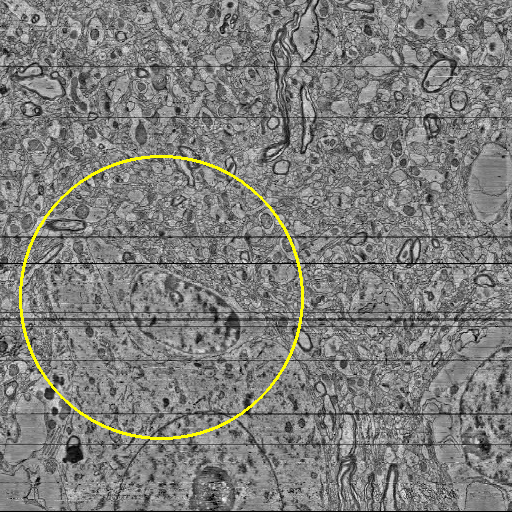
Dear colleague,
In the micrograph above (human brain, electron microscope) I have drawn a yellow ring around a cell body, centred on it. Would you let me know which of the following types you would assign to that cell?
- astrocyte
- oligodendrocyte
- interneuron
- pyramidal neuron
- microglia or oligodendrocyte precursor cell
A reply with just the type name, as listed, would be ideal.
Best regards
microglia or oligodendrocyte precursor cell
